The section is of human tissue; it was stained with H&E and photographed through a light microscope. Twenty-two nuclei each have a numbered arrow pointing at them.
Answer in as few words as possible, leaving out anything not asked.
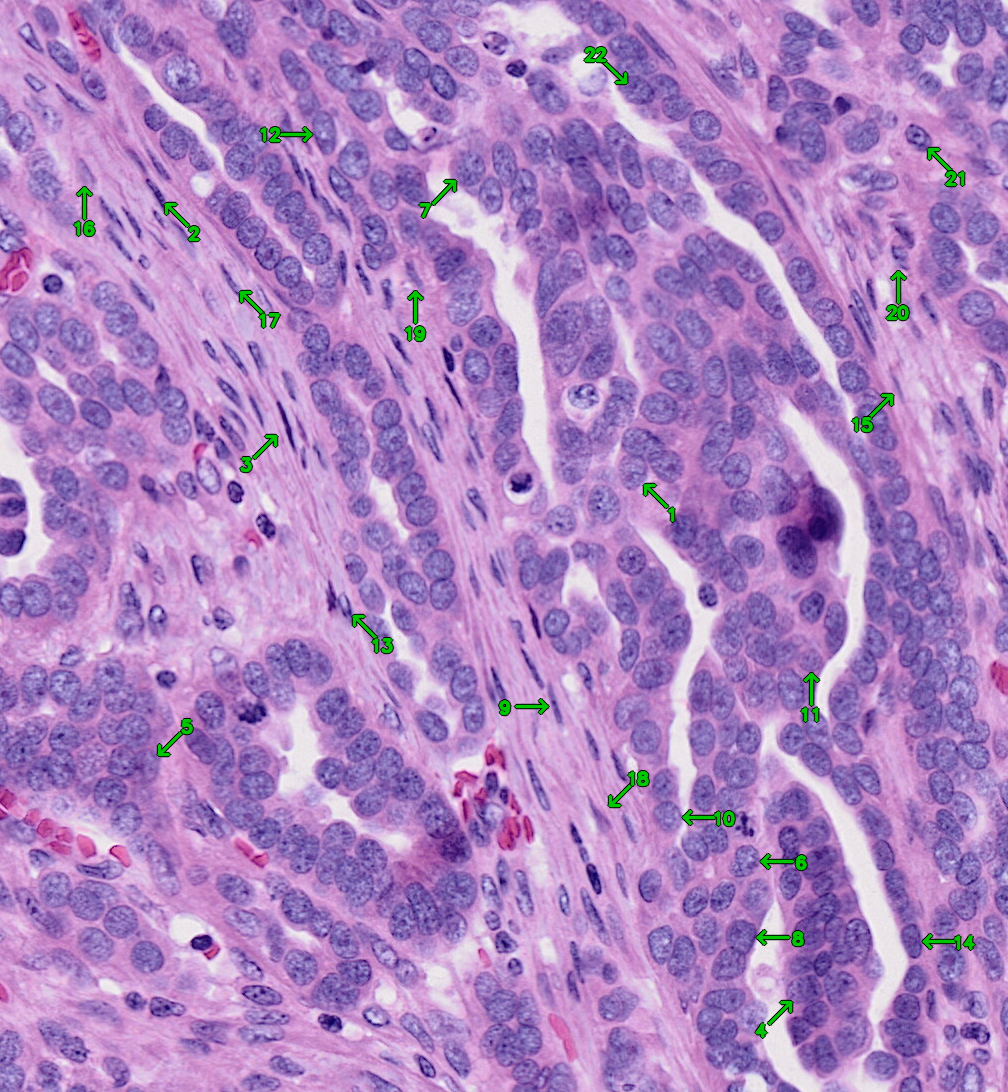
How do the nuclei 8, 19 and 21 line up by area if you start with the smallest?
19, 21, 8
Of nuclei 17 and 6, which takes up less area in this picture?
17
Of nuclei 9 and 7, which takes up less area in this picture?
9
